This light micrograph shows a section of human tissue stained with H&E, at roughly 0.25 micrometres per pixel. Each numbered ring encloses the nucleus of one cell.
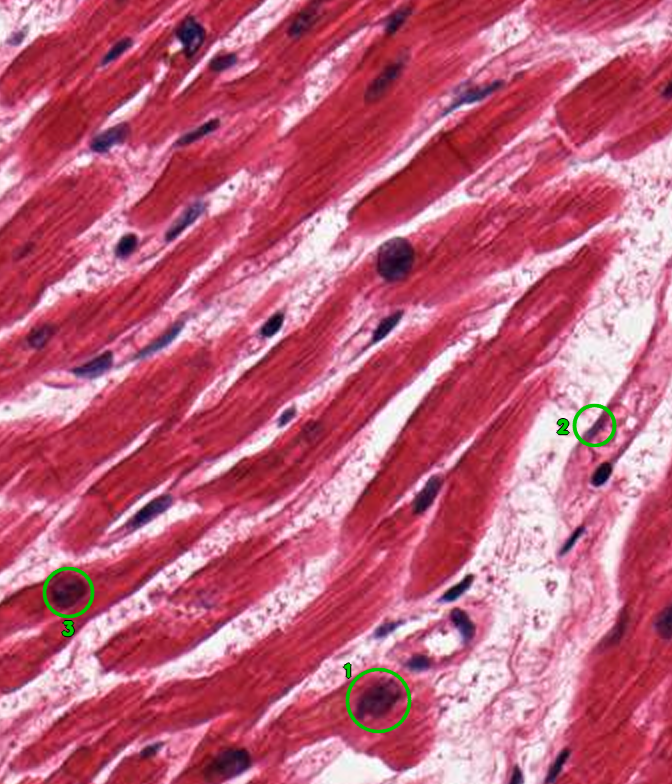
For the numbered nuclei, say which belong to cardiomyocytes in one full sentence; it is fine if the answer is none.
The cells whose nuclei carry the numbers 1 and 3 are cardiomyocytes.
